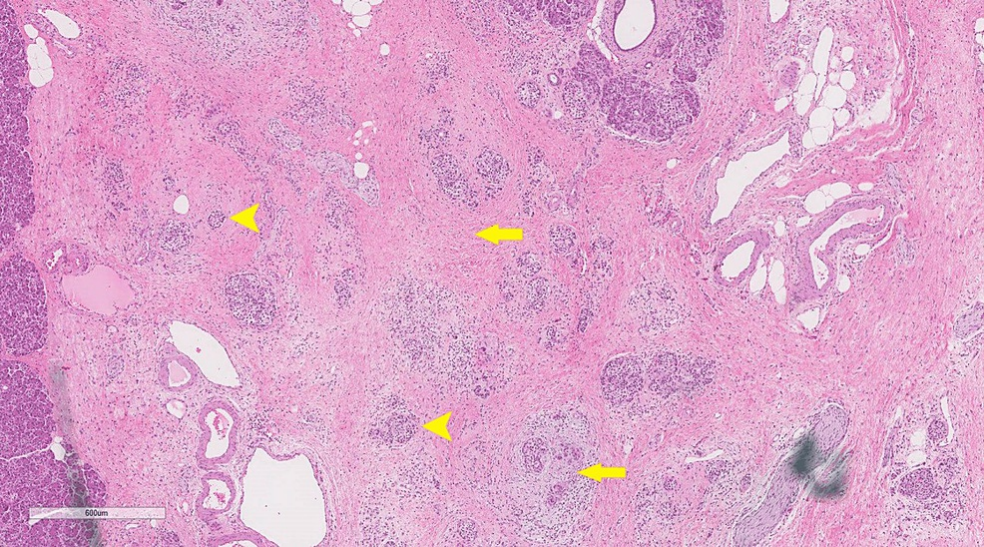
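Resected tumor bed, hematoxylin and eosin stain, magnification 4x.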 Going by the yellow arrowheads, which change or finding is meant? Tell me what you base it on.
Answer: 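Pancreatic parenchymal atrophy. The arrowheads point to small, isolated clusters of purple-staining epithelial cells. These clusters are much smaller than the dense purple lobules at the left edge. Each cluster is surrounded by broad pink stroma.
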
